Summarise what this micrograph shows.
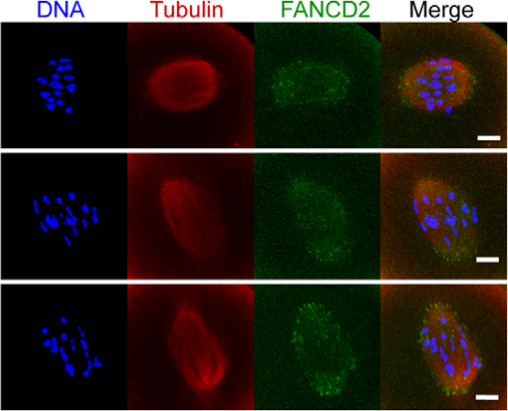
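In each row an elongated red spindle lies within a large cell, with compact blue chromosomes spread through and around its middle rather than in one neat plate. Green dots and speckles outline the spindle region, more densely near its ends.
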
